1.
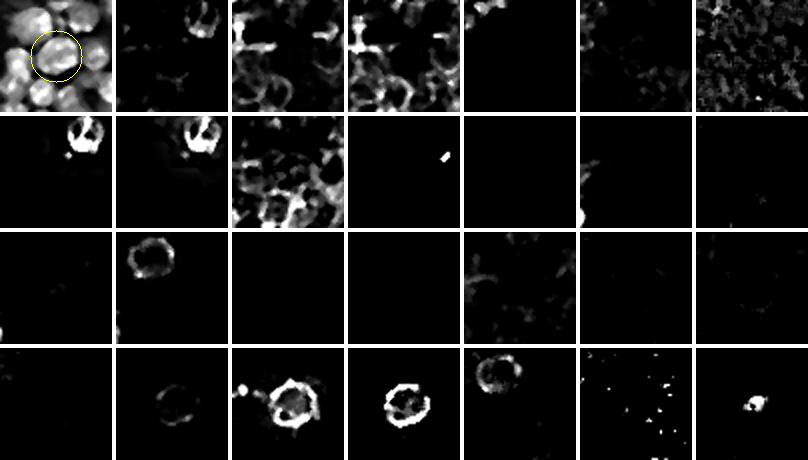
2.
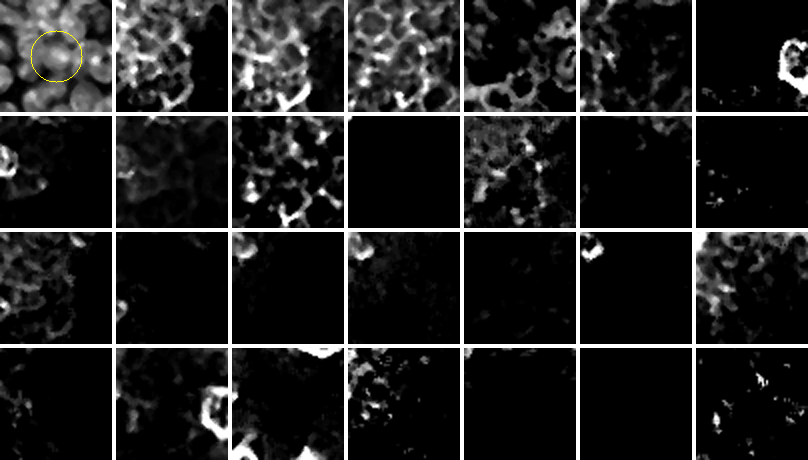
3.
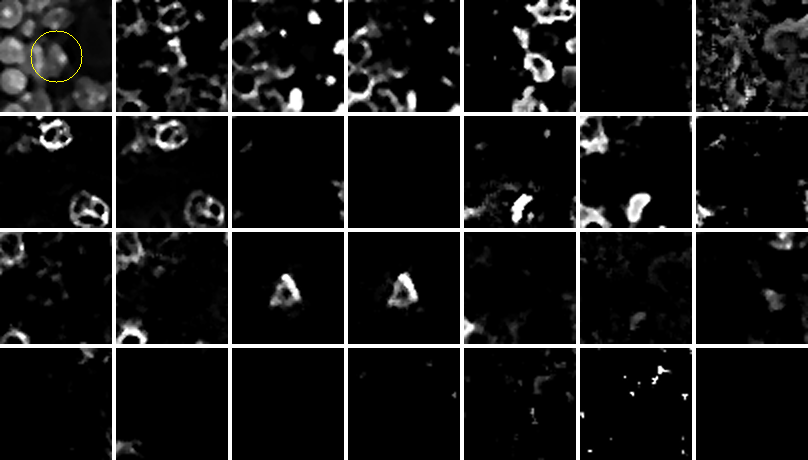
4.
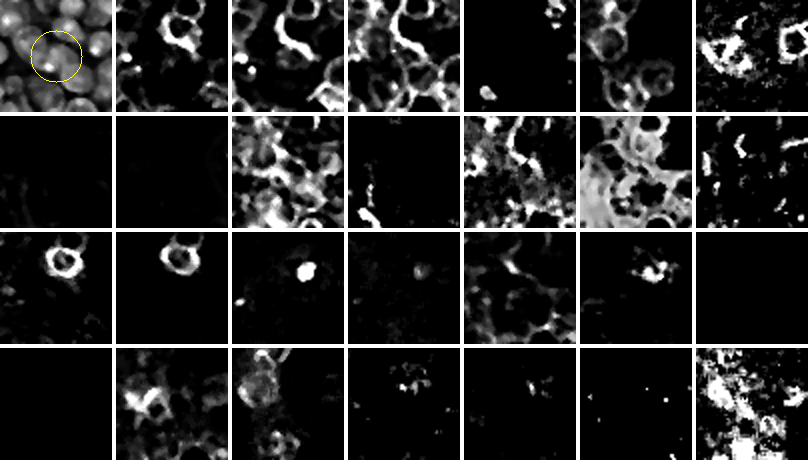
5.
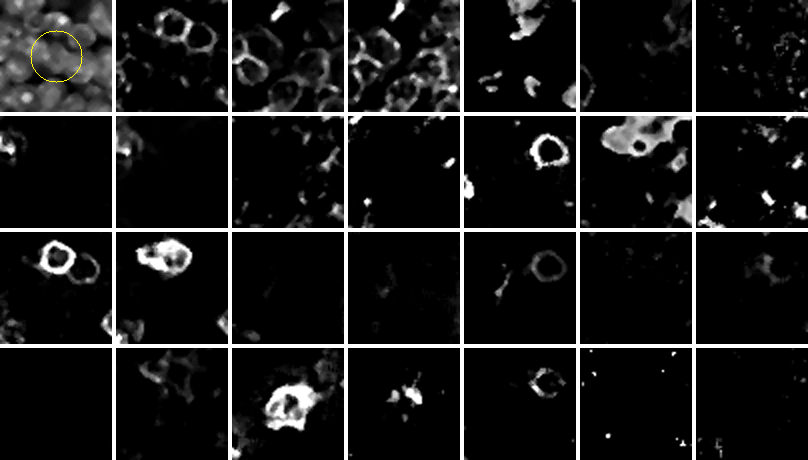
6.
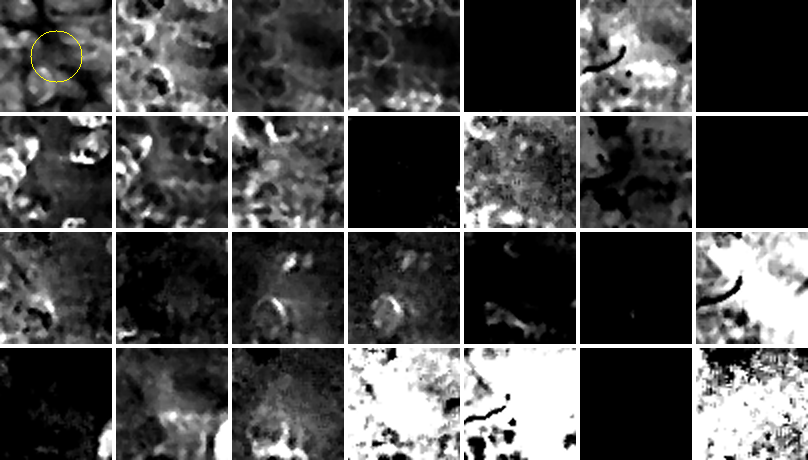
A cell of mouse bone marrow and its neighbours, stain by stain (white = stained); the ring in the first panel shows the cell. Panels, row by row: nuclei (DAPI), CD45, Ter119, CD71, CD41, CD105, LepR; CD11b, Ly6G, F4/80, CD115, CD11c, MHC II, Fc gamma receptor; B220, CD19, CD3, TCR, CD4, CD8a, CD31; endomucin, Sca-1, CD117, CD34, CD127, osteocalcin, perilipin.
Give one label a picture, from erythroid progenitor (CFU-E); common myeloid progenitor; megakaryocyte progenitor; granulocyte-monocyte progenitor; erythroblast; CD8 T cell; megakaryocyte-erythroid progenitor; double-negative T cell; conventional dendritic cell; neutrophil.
Picture 1: common myeloid progenitor
Picture 2: erythroblast
Picture 3: double-negative T cell
Picture 4: conventional dendritic cell
Picture 5: common myeloid progenitor
Picture 6: erythroid progenitor (CFU-E)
